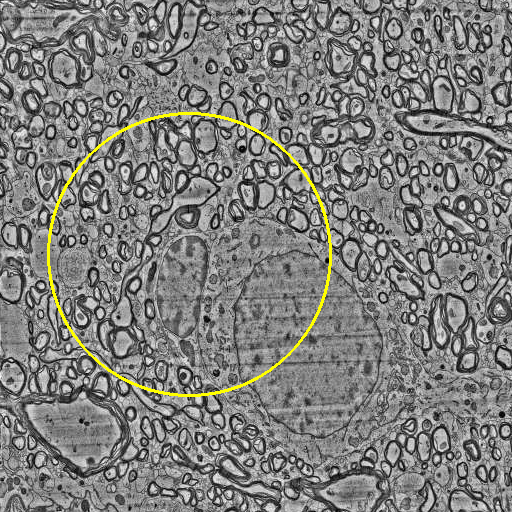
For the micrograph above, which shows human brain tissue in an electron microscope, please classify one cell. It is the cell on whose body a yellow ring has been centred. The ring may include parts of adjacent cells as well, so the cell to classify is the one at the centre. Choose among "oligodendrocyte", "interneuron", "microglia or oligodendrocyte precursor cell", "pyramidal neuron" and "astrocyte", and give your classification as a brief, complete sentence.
I classify this cell as a microglial cell or oligodendrocyte precursor cell.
